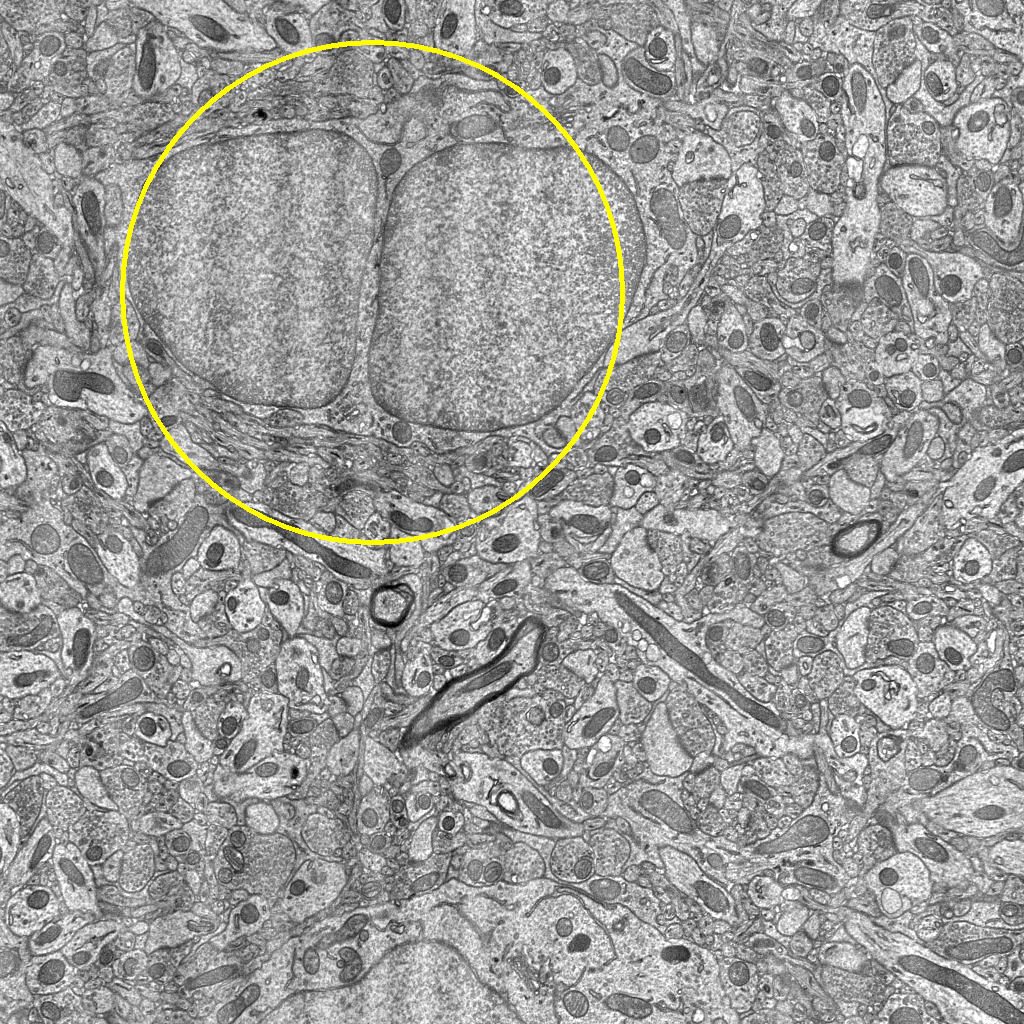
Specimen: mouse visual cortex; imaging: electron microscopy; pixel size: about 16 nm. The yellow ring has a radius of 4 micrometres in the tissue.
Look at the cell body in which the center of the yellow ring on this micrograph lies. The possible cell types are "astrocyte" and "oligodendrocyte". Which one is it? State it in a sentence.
The cell at the middle of the ring is an astrocyte.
